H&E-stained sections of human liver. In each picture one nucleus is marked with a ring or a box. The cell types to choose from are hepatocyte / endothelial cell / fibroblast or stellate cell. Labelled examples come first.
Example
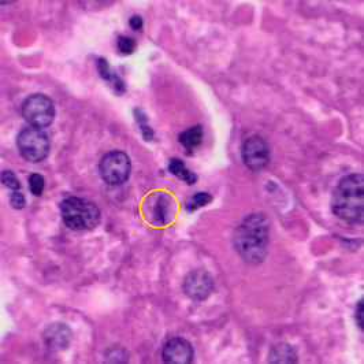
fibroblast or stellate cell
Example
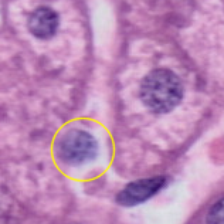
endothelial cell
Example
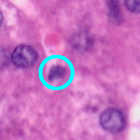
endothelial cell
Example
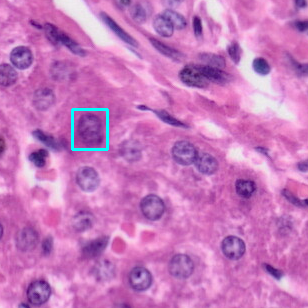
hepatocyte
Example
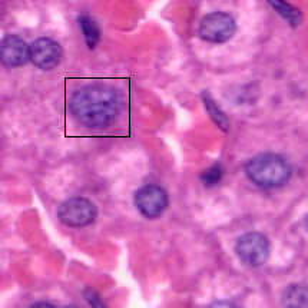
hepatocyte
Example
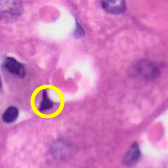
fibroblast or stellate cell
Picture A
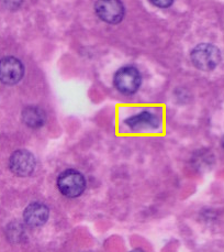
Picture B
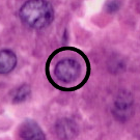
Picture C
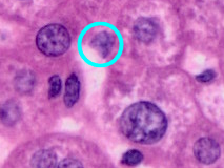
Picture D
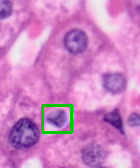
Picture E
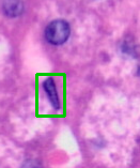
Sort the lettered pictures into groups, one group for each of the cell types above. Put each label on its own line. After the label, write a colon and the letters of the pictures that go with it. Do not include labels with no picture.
hepatocyte: B
endothelial cell: A, C, D
fibroblast or stellate cell: E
